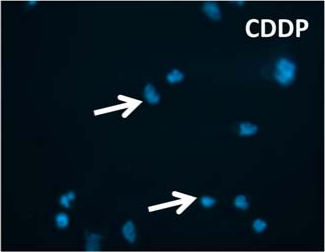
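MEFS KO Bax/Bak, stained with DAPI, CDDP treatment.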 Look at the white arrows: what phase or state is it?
Dying cells.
